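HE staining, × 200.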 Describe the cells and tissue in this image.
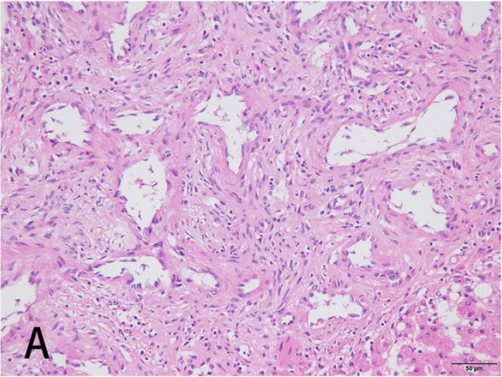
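This is a tumour made of spindle-shaped and plumper epithelioid cells arranged around numerous blood vessels. The tumour cells have oval to elongated nuclei and pale pink cytoplasm, and they are laid in layers that encircle the vascular spaces, forming concentric cuffs. Between the vessels the cells form interlacing bundles within a pink fibrous background. The nuclei are fairly uniform without obvious crowding. Near one edge a few larger polygonal cells with clear vacuoles in their cytoplasm are seen.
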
